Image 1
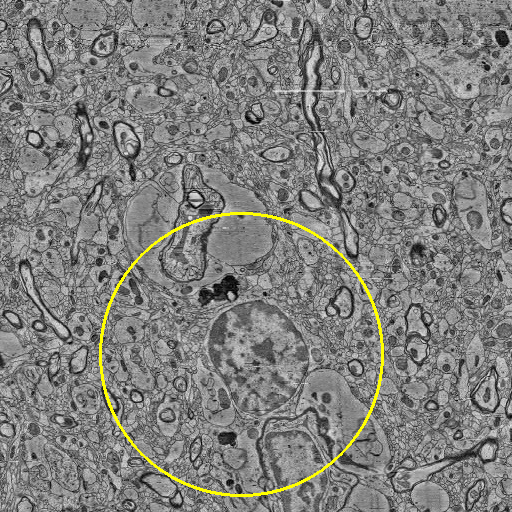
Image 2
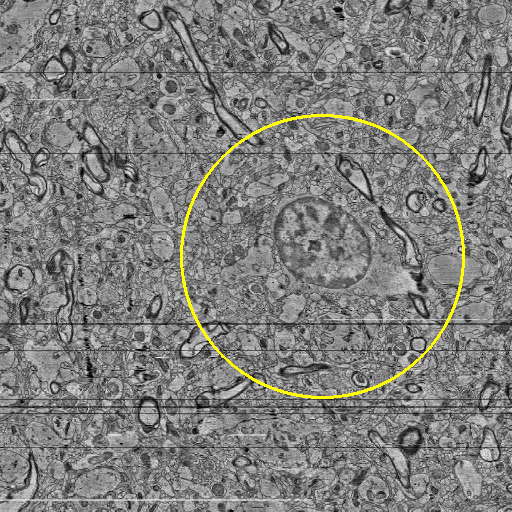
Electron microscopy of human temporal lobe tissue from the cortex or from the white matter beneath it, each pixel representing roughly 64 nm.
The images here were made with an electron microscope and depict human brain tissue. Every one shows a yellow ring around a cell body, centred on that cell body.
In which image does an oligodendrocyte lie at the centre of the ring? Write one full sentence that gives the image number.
My answer is image 2, where the asked-for cell sits at the centre of the ring.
